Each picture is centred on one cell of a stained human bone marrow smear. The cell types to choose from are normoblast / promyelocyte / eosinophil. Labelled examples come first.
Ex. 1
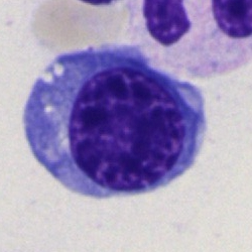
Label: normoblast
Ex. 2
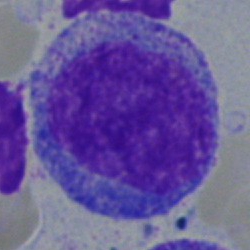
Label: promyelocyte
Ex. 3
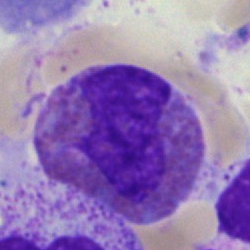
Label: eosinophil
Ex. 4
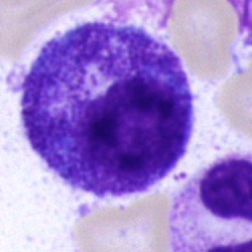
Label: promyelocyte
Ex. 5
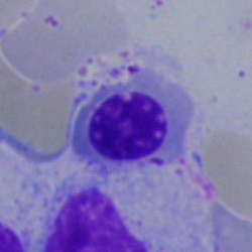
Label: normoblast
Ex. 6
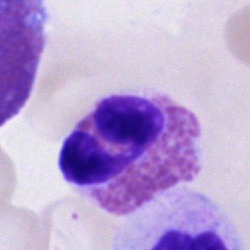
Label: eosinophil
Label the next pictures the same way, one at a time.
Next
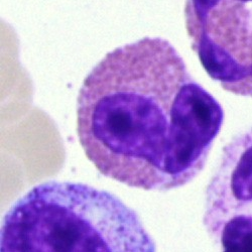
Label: eosinophil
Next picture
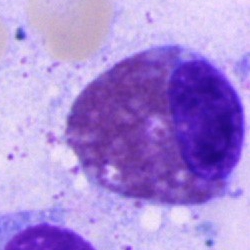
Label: eosinophil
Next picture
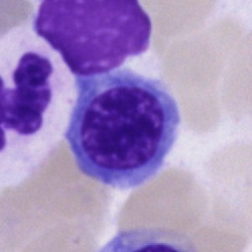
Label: normoblast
